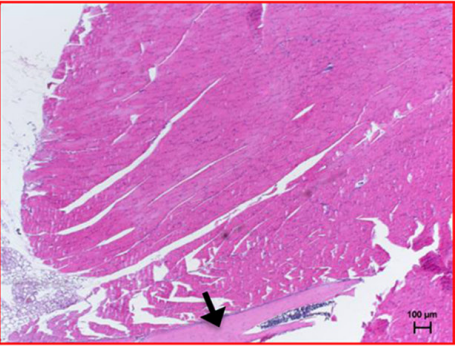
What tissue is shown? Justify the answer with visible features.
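Most of the section is filled with long, evenly pink fibres in parallel bundles. Clefts run between bundles of fibres along their length. So: muscular tissues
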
